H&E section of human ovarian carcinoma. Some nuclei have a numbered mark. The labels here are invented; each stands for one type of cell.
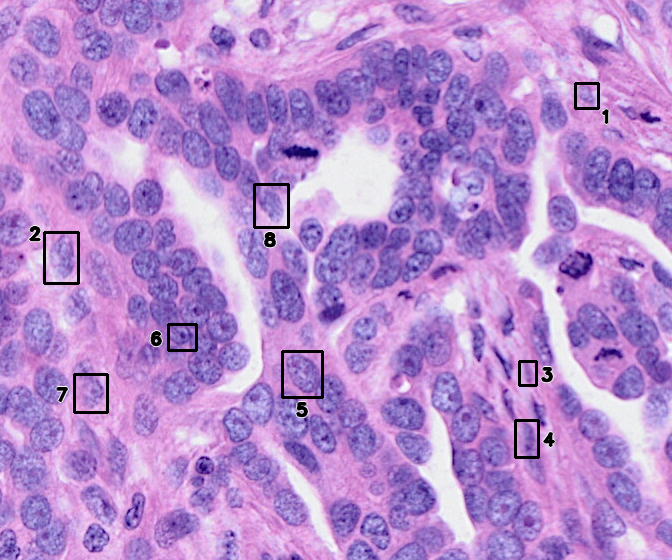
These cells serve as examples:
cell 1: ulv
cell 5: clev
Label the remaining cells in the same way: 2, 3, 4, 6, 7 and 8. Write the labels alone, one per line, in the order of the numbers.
ulv
ulv
ulv
clev
ulv
clev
